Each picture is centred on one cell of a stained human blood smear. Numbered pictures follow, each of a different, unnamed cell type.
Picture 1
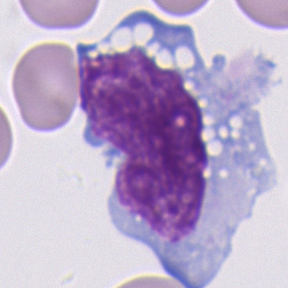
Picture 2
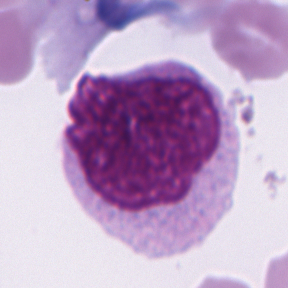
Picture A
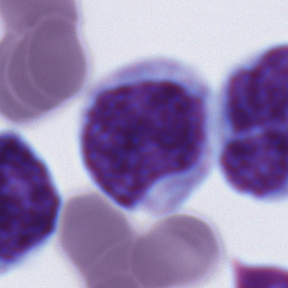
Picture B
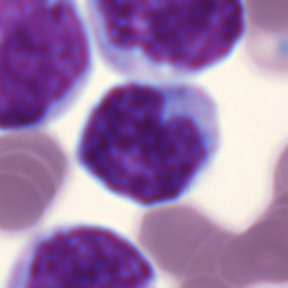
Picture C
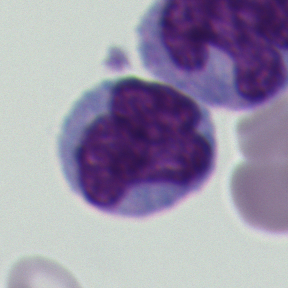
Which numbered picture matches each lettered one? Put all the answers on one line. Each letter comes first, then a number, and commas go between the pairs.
A 2, B 2, C 2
